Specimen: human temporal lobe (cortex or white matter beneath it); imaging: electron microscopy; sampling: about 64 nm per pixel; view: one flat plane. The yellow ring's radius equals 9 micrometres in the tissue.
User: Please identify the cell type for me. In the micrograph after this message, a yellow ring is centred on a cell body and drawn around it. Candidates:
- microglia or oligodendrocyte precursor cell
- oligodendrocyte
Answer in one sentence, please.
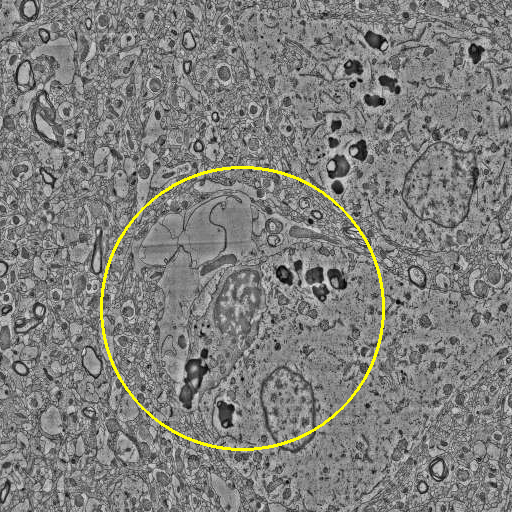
The ring is drawn around the cell body of an oligodendrocyte.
